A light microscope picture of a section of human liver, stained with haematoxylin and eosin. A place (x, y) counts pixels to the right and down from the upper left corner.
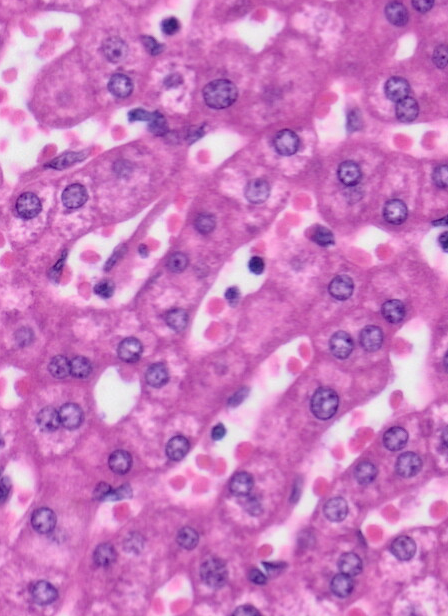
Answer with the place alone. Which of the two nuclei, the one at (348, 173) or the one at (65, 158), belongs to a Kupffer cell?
(65, 158)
